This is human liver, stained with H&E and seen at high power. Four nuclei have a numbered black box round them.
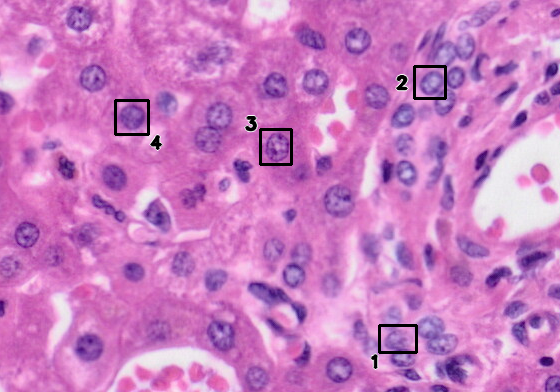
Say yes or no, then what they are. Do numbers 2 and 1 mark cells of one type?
Yes, of the numbered cells, 2 and 1 are both cholangiocytes.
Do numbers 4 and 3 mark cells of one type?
Yes, both of the numbered cells concerned, 4 and 3, are hepatocytes.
